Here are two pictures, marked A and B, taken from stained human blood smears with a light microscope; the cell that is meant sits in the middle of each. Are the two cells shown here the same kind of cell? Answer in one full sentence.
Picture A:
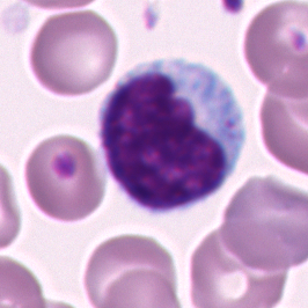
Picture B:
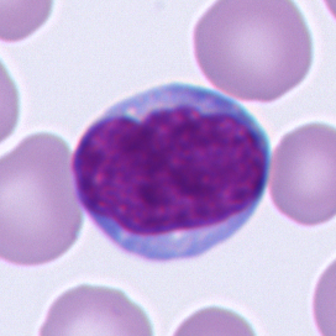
Yes, both are typical lymphocytes.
